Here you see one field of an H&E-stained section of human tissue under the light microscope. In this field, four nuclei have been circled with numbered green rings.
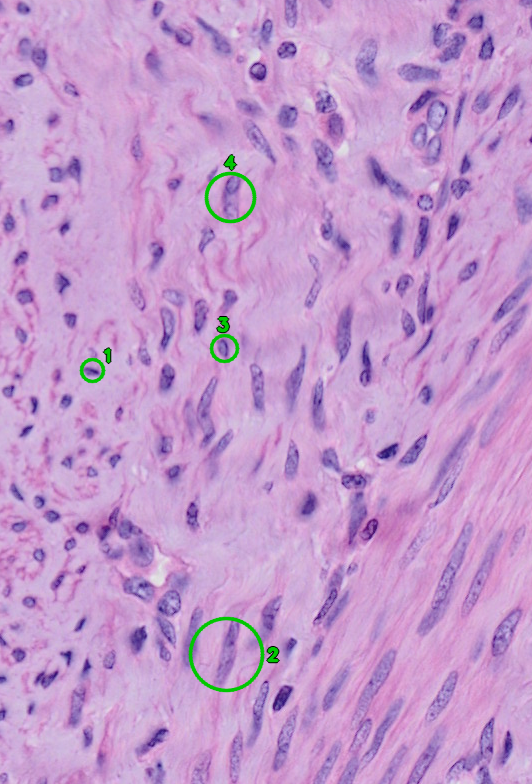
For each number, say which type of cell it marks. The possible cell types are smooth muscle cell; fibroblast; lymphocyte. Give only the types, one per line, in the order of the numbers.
fibroblast
smooth muscle cell
smooth muscle cell
smooth muscle cell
